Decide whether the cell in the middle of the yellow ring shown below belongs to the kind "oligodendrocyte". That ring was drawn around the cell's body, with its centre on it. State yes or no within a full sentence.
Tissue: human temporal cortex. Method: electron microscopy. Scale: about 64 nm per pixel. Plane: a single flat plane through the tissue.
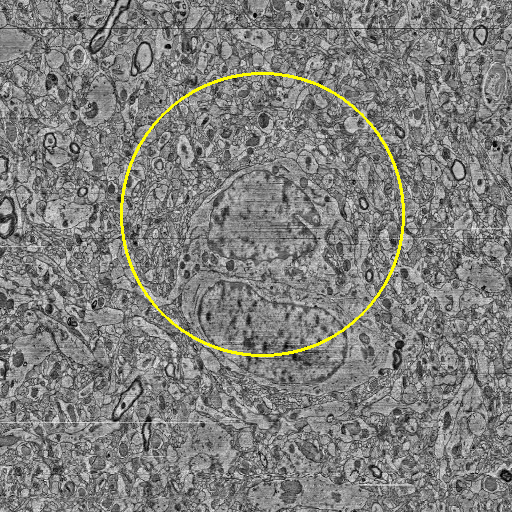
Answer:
No, the cell whose body lies at the ring's centre in the picture belongs to a different kind.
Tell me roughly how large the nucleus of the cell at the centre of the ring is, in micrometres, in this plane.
The nucleus appears roughly 7 by 6 micrometres in this plane.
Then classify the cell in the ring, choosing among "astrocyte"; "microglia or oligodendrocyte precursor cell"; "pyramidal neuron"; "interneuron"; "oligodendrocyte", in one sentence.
The correct answer is that the cell is an interneuron.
